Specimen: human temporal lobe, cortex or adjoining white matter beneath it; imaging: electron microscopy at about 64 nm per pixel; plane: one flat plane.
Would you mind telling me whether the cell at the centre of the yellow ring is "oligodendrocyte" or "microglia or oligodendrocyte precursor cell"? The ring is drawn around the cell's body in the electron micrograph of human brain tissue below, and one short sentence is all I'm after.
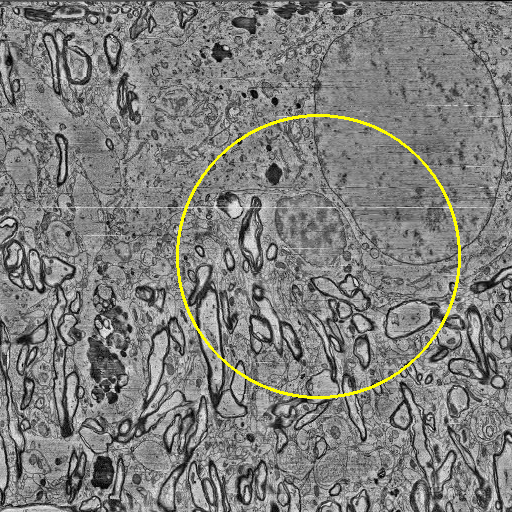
In the centre of the ring lies an oligodendrocyte.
